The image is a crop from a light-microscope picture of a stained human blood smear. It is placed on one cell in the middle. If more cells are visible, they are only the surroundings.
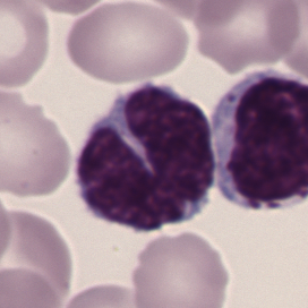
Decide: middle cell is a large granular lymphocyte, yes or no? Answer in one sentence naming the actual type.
No, what occupies the middle of the crop is a typical lymphocyte and not a large granular lymphocyte.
